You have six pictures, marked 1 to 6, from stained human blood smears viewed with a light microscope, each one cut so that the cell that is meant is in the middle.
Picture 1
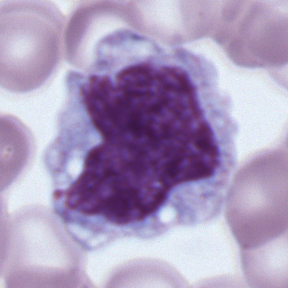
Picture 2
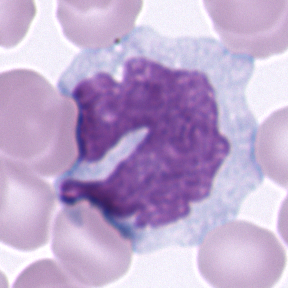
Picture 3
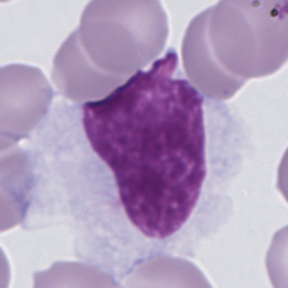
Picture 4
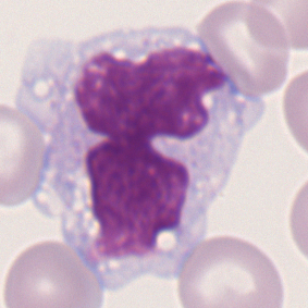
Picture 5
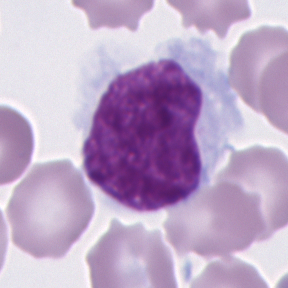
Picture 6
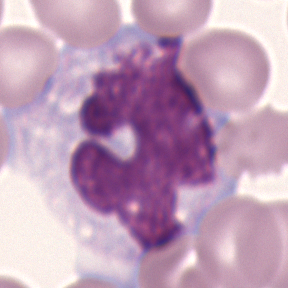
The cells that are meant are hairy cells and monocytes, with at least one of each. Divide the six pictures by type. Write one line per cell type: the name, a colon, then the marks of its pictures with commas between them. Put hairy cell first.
hairy cell: 3, 5
monocyte: 1, 2, 4, 6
